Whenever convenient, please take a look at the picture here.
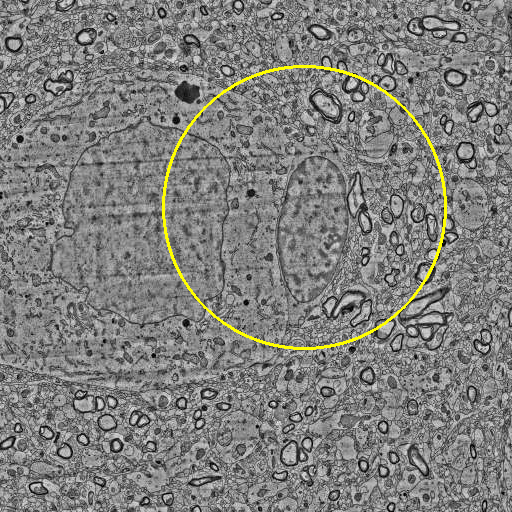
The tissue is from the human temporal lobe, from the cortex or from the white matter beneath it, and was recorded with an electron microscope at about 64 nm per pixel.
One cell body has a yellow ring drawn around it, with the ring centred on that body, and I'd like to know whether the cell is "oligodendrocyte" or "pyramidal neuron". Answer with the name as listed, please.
oligodendrocyte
